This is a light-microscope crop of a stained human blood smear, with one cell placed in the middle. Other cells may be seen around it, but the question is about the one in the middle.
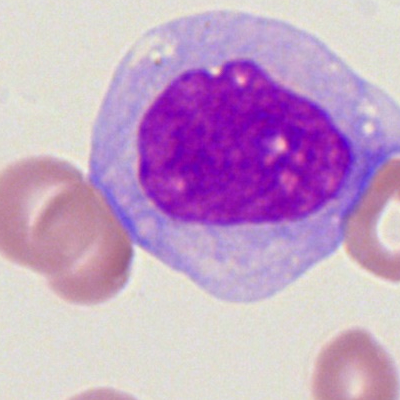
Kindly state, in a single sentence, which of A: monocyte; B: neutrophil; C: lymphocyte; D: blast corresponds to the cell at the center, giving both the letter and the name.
The cell in the middle is a monocyte, and so option A is correct.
